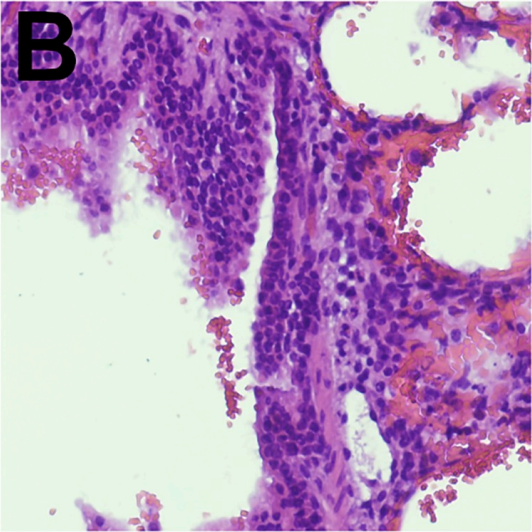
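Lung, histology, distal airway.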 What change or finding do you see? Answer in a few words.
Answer: Hemorrhage.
